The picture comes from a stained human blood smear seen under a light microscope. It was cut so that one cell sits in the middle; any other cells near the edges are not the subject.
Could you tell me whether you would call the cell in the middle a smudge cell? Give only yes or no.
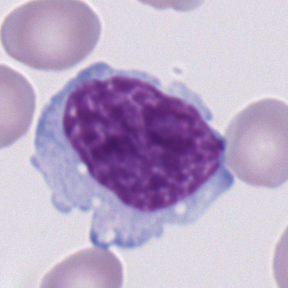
no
